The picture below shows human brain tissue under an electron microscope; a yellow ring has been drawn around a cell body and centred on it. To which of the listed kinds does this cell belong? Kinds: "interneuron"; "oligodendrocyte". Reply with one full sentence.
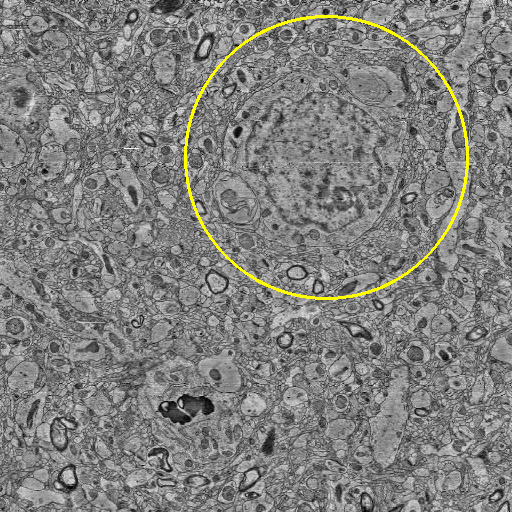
It is an interneuron that the yellow ring in the picture is centred on.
